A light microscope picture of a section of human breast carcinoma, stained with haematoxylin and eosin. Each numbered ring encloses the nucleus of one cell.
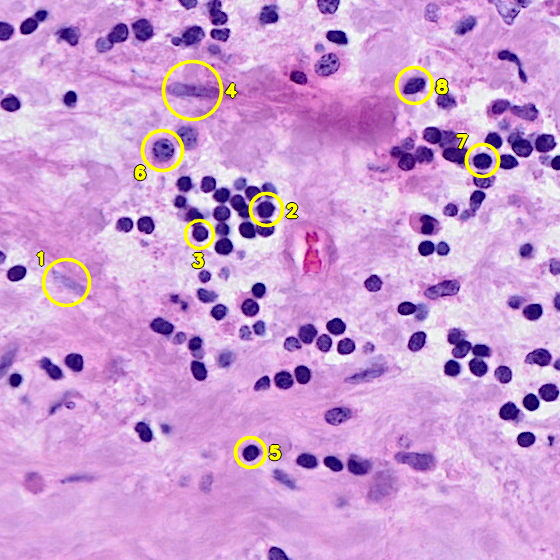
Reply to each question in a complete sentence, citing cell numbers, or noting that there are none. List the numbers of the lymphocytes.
The cells 2, 3, 5, 7 and 8 in this section are lymphocytes.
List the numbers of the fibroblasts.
The cells numbered 1 and 4 are typed as fibroblasts.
